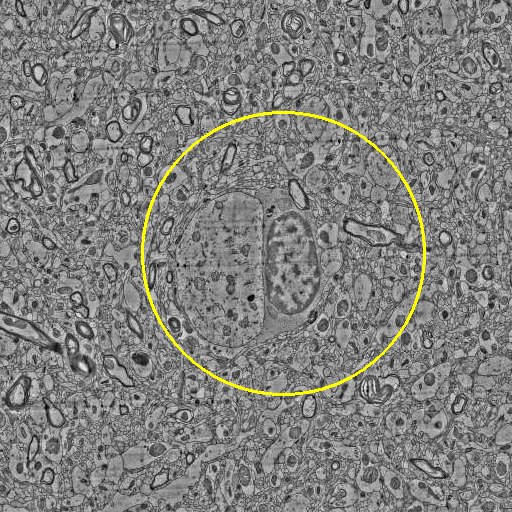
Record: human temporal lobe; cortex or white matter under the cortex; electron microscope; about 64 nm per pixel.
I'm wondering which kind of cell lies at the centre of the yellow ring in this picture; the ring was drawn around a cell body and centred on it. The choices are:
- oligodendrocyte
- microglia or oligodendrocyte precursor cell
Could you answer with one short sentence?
At the centre of the ring lies an oligodendrocyte.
